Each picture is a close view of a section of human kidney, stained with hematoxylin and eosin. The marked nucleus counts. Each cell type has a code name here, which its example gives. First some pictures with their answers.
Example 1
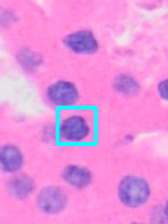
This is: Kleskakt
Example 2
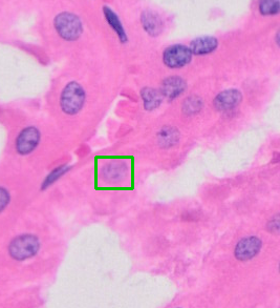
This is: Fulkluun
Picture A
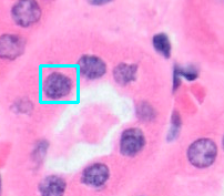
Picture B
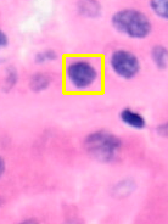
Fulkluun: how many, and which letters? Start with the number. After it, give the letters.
0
